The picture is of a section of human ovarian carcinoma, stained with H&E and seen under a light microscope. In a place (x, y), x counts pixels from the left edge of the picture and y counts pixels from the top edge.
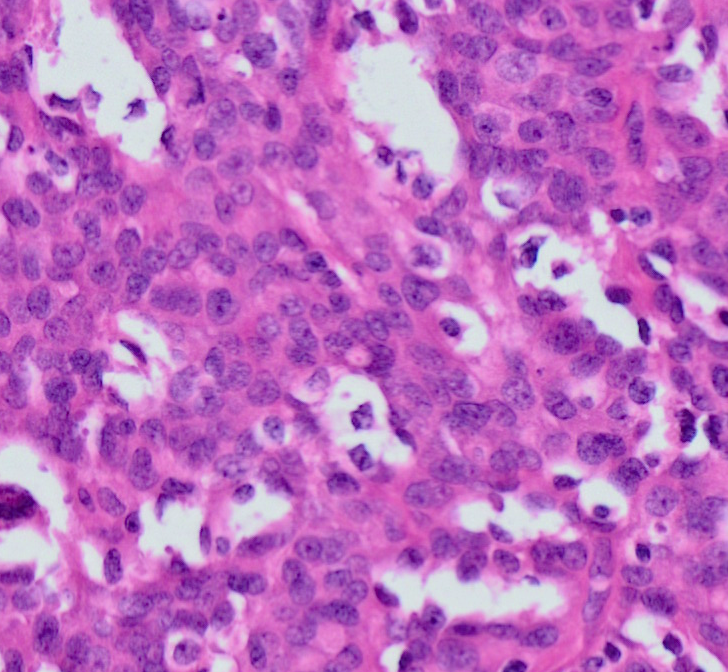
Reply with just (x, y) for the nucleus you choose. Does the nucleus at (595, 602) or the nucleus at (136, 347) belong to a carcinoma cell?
(136, 347)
